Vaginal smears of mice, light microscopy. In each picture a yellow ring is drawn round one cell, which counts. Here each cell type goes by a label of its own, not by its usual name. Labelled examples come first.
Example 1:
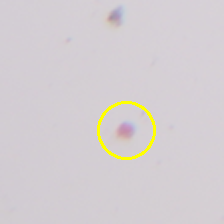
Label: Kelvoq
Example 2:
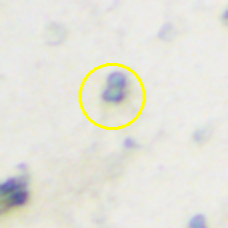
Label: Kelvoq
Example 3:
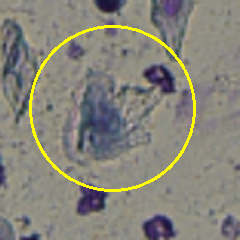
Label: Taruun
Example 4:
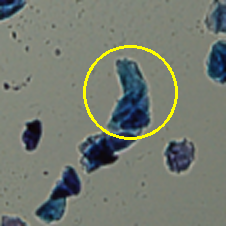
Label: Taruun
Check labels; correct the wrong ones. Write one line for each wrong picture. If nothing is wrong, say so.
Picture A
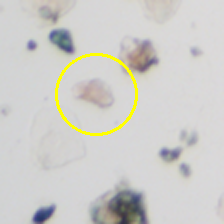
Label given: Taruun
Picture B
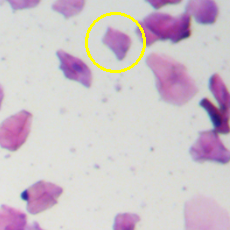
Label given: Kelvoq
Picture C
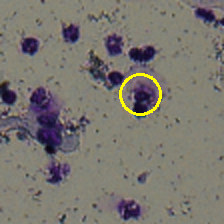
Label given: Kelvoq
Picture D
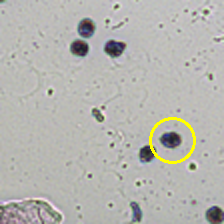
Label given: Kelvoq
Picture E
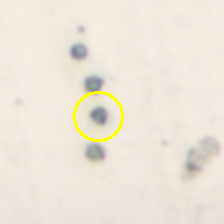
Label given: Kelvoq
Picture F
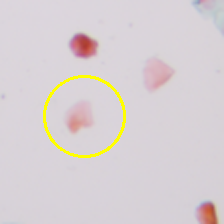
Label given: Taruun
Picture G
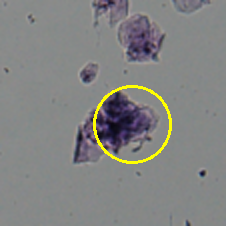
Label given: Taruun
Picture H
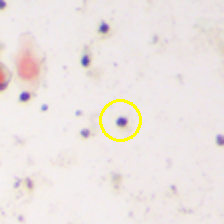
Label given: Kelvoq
B: not Kelvoq but Taruun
